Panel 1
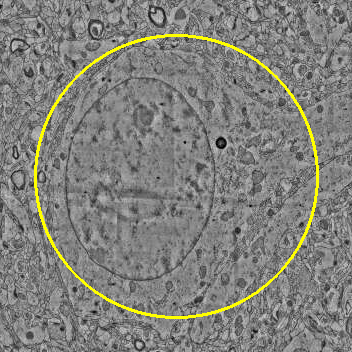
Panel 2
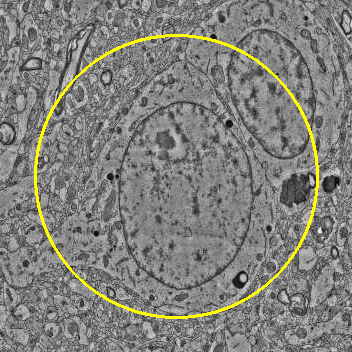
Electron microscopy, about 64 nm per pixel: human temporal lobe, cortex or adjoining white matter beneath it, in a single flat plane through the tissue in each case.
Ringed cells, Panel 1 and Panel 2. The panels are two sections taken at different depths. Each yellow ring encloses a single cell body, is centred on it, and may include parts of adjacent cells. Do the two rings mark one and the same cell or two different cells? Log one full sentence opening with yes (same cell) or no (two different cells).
No, the rings single out two cells that are separate from each other.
